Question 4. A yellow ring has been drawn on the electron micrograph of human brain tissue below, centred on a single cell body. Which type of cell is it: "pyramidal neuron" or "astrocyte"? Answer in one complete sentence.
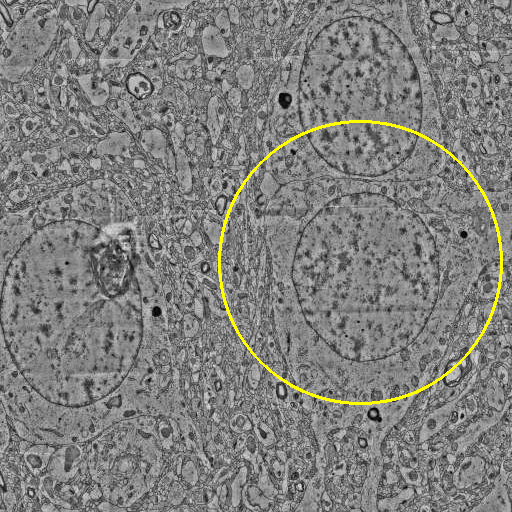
This cell body belongs to a pyramidal neuron.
